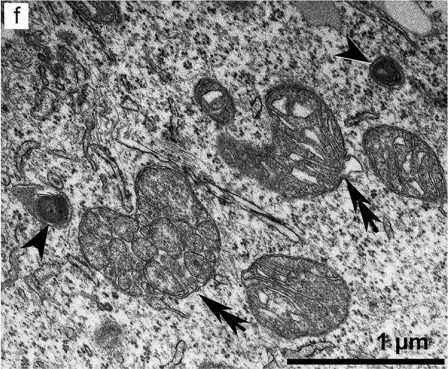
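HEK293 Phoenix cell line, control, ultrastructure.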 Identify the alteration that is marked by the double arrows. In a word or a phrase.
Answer: Defective mitochondria.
